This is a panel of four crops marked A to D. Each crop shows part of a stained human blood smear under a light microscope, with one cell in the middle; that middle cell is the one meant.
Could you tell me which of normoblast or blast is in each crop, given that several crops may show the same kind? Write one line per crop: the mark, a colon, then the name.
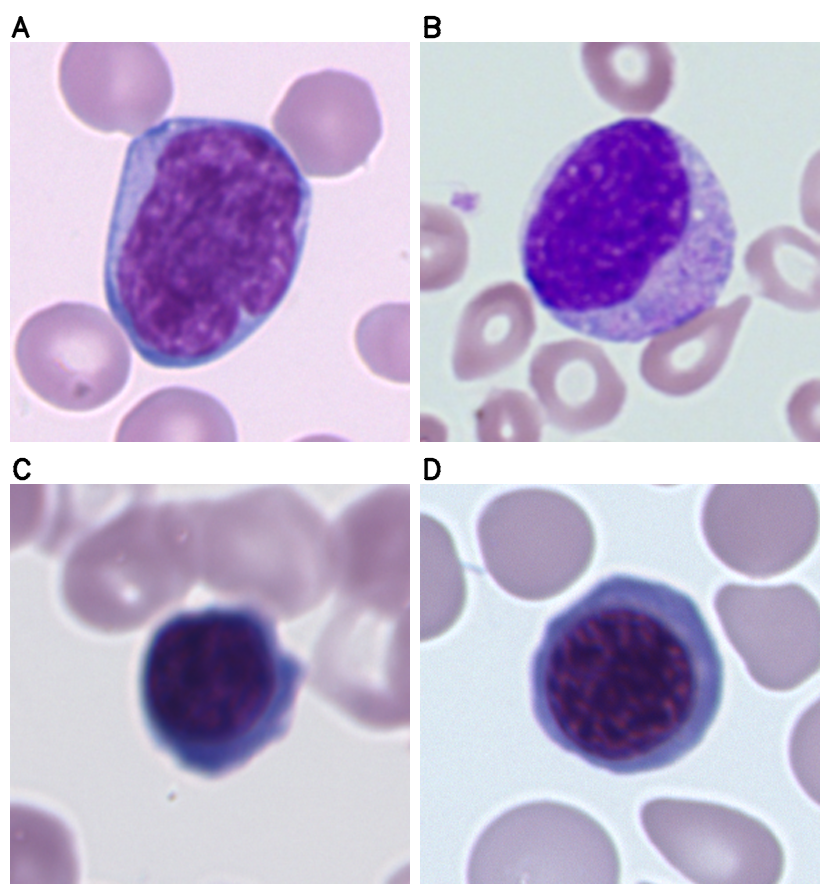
A: blast
B: blast
C: normoblast
D: normoblast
